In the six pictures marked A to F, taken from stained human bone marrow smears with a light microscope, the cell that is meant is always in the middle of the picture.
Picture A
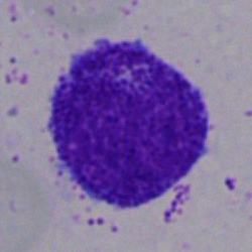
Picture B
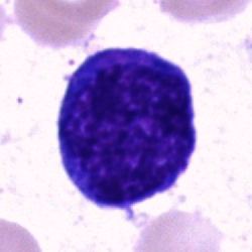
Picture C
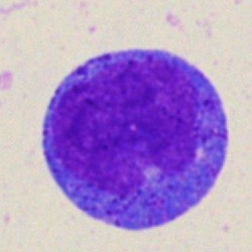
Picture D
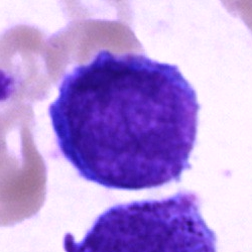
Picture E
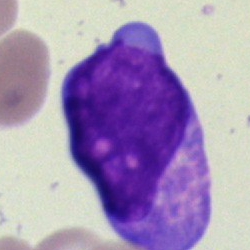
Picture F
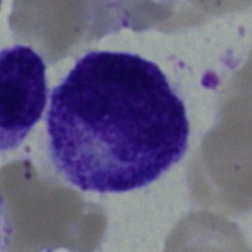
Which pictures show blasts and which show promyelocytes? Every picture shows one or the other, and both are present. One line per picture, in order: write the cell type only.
promyelocyte
promyelocyte
promyelocyte
blast
blast
promyelocyte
